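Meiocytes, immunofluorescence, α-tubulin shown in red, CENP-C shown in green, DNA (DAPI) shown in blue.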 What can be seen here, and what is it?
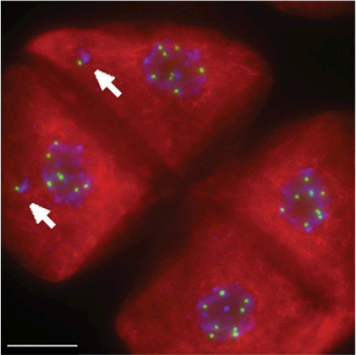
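The red background fills the cytoplasm evenly without a distinct spindle. In two of the cells a tiny blue body sits apart from the main nucleus near the cell edge, a small isolated nucleus separate from the large one.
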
